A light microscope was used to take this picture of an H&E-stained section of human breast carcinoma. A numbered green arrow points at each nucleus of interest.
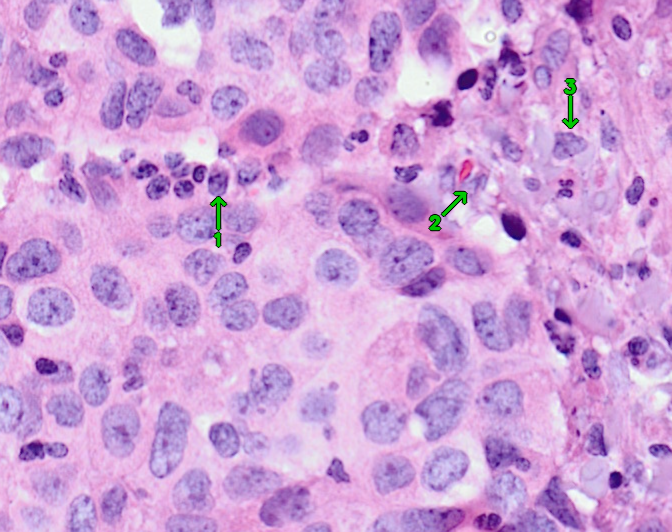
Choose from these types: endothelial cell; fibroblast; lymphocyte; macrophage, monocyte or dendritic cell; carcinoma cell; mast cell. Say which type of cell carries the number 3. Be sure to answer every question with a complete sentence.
Here the cell numbered 3 is a macrophage, monocyte or dendritic cell.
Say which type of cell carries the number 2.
Regarding cell 2, this one is an endothelial cell.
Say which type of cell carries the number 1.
Cell 1 of the marked set is a lymphocyte.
